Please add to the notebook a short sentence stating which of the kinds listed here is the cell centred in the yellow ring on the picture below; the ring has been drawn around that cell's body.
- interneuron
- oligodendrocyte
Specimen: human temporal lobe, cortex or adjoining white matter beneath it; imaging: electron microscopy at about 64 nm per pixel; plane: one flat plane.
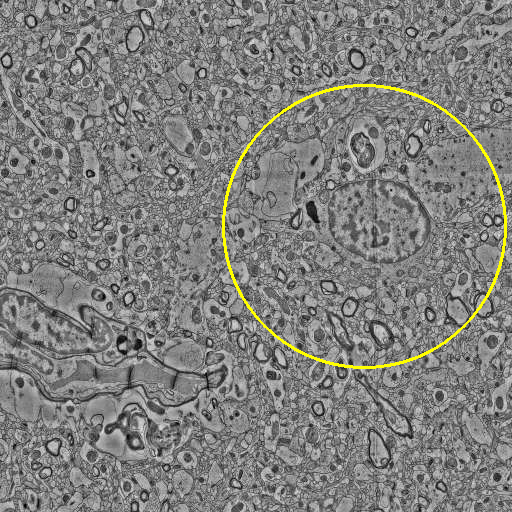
The cell centred in the yellow ring is an oligodendrocyte.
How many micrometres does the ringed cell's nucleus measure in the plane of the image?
Approximately 7 micrometres long and 5 micrometres wide, in this plane.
